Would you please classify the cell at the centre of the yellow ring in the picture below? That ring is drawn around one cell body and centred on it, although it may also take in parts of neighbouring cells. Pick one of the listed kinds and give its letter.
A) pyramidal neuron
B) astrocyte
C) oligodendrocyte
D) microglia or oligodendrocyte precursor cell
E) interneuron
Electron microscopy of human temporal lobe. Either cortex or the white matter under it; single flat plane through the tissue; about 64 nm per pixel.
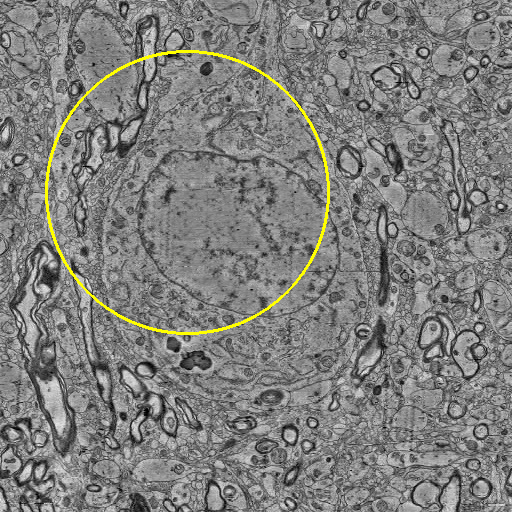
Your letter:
E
